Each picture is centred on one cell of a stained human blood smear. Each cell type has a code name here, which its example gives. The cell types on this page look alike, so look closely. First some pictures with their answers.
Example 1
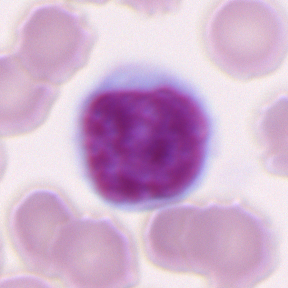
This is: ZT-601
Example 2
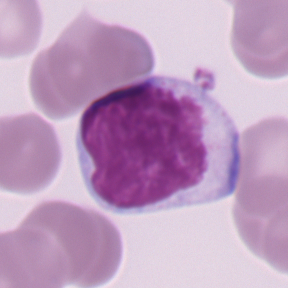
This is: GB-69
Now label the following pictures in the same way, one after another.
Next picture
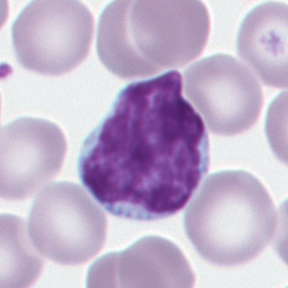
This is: ZT-601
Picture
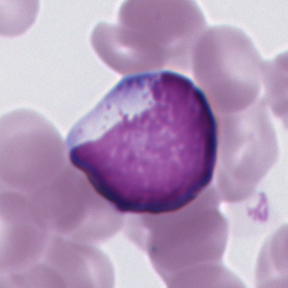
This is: GB-69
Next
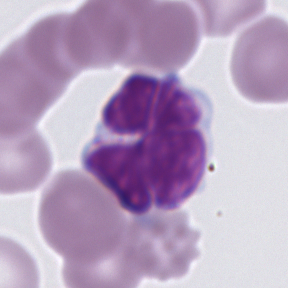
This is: GB-69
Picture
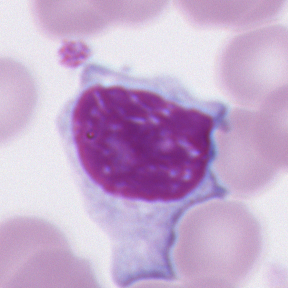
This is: ZT-601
